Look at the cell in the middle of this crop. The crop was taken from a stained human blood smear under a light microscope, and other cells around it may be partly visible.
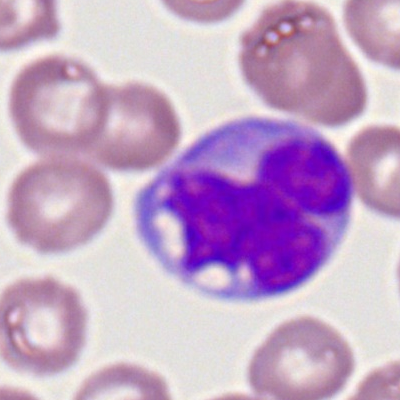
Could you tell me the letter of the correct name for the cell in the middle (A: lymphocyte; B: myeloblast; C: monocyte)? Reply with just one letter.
C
